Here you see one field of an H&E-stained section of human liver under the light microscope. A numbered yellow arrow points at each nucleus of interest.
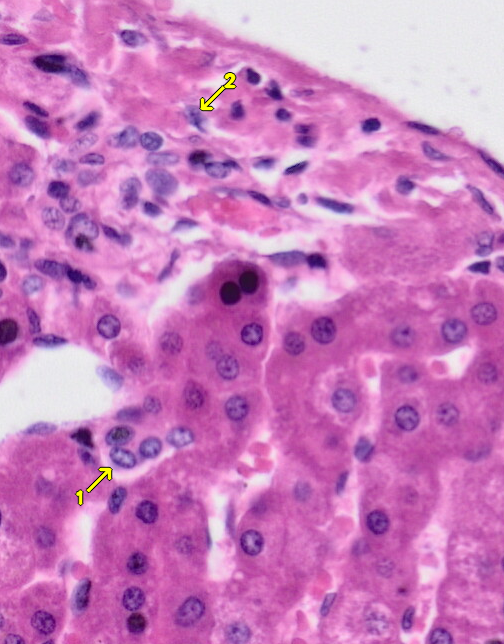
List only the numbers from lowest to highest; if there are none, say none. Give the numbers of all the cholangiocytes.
1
